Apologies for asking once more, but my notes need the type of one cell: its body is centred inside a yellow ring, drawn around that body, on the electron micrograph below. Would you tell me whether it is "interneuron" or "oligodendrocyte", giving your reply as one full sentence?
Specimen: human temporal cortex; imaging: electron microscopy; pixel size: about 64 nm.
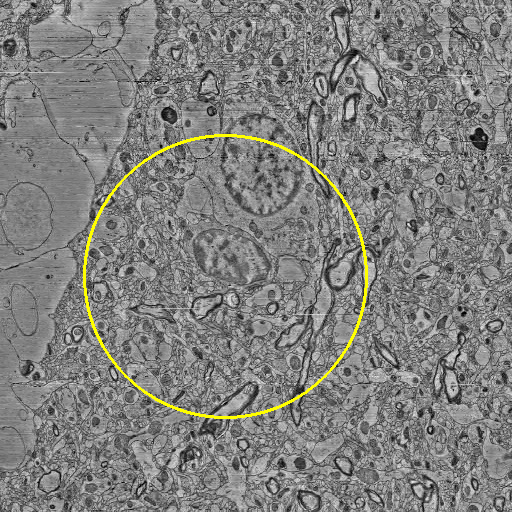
The cell that the yellow ring is centred on is an oligodendrocyte in this micrograph.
